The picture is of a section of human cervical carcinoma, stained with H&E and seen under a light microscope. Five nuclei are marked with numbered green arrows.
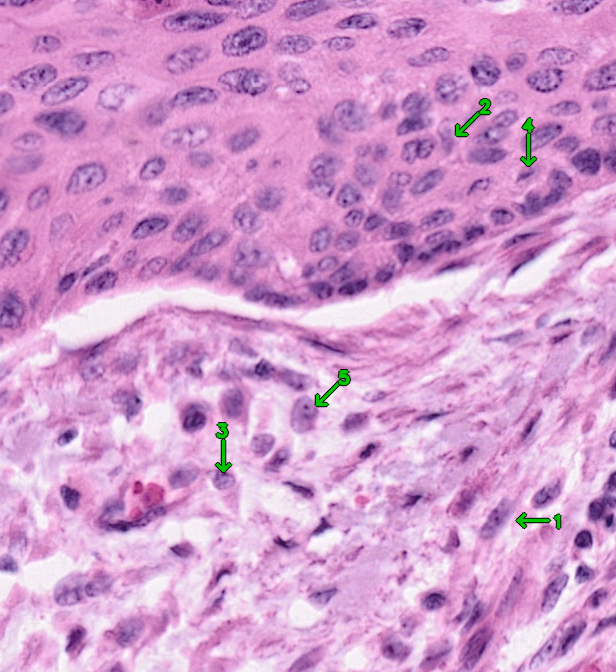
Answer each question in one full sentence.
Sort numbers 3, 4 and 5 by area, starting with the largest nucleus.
The nuclei rank 5, 3, 4, from largest to smallest.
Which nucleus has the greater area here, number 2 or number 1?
Nucleus 1 is the larger one, covering about 2.5 times the area of nucleus 2.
